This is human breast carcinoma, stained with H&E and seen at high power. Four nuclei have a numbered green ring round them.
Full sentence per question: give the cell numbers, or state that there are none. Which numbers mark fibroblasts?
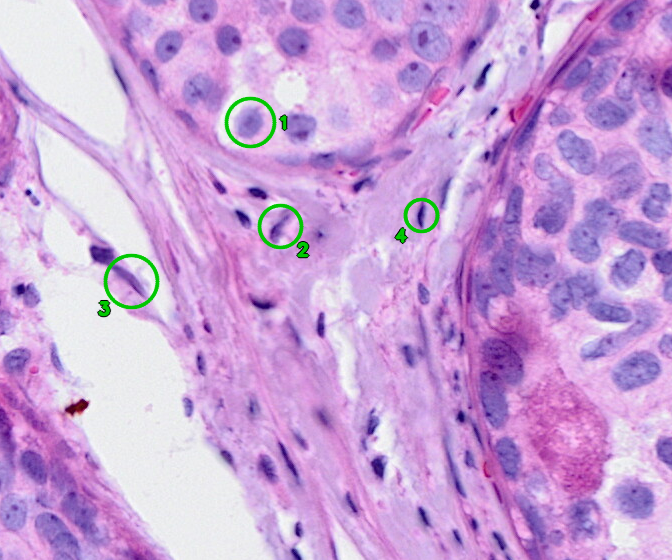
Cells 2, 3 and 4 share one type; they are fibroblasts.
